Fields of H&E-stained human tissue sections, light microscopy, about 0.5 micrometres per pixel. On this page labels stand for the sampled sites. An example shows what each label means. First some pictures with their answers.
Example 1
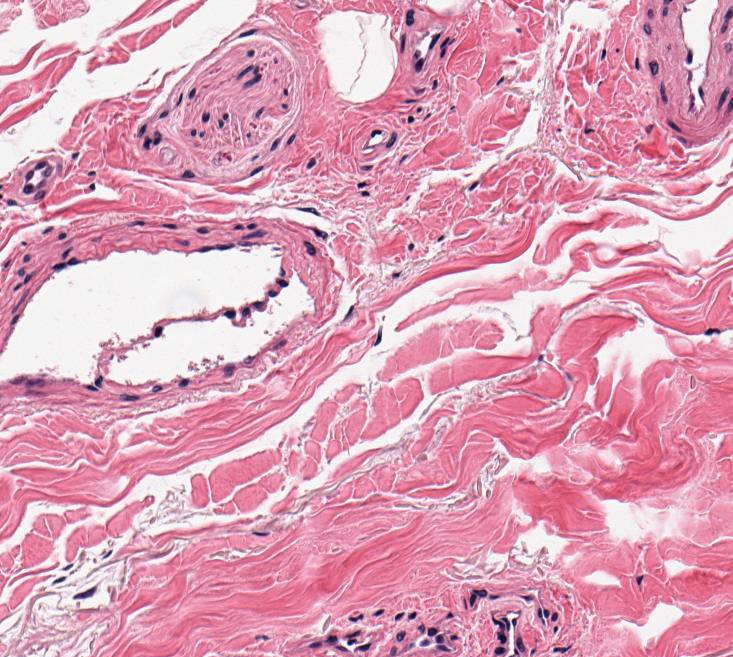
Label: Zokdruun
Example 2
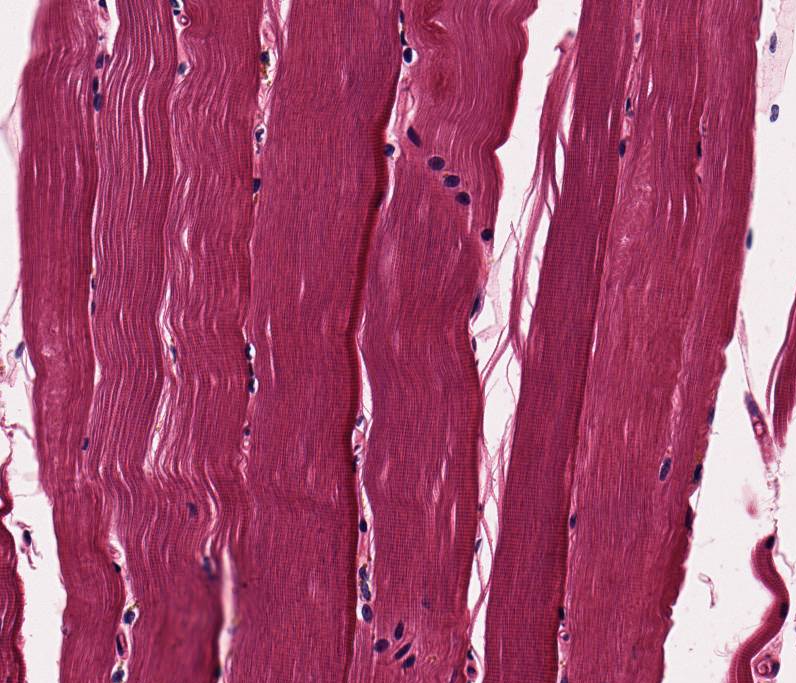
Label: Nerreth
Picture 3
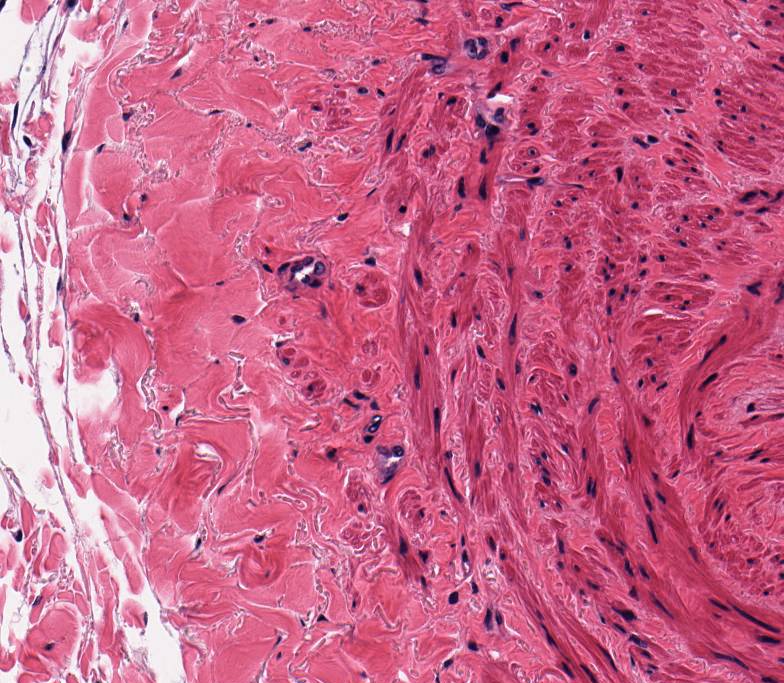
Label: Zokdruun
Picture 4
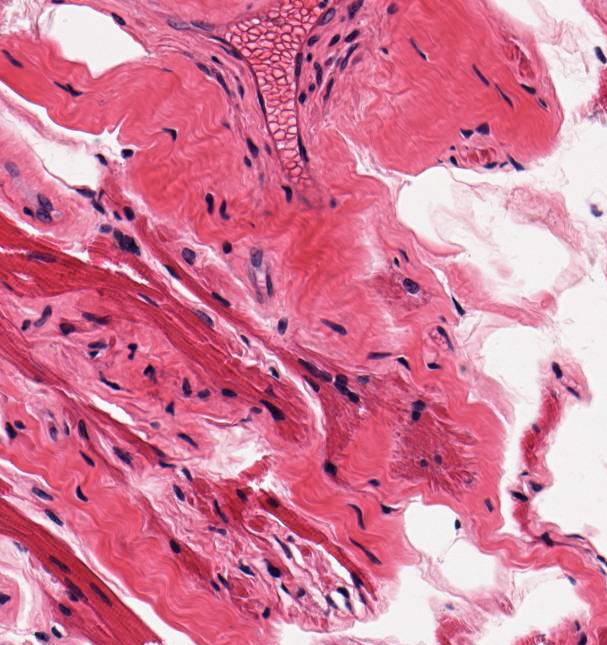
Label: Nerreth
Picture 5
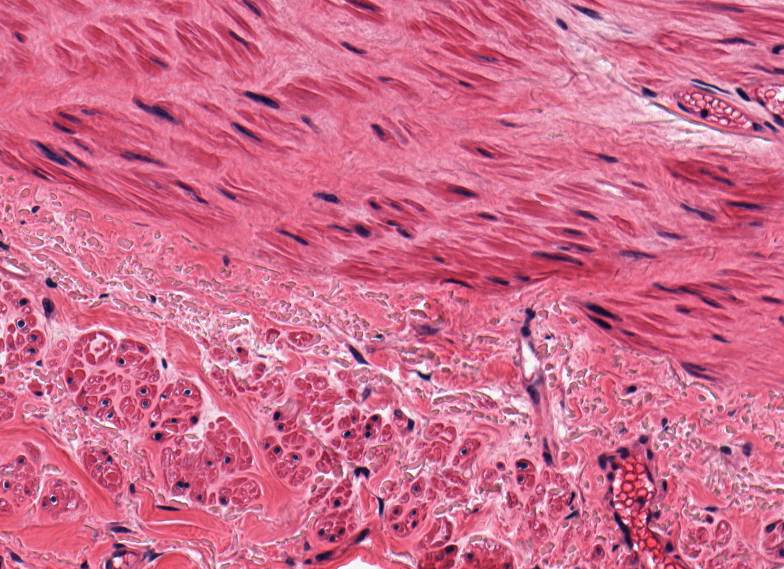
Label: Zokdruun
